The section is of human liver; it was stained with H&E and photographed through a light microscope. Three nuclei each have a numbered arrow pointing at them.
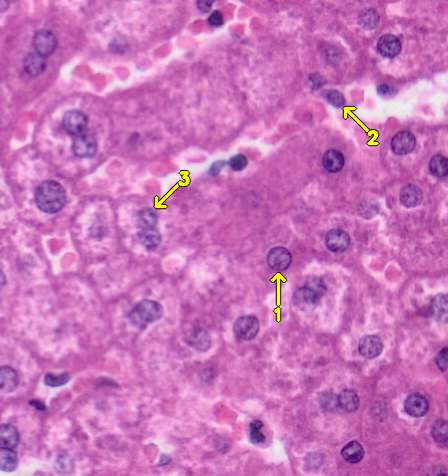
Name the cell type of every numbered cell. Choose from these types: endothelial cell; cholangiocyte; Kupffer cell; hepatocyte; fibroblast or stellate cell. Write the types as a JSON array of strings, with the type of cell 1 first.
["hepatocyte", "Kupffer cell", "hepatocyte"]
